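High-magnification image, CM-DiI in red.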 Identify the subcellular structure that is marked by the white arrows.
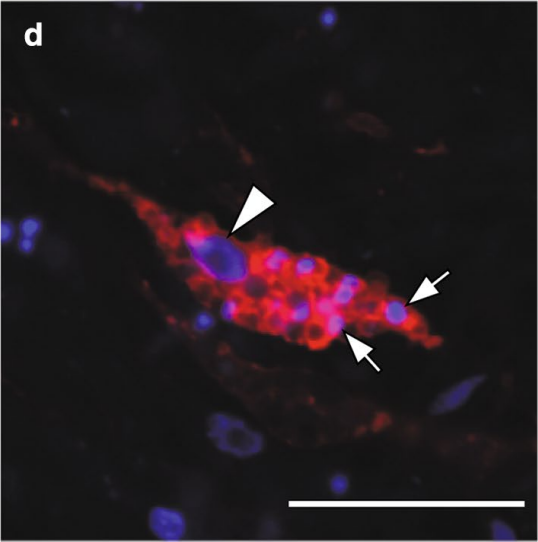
Nuclear fragments.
